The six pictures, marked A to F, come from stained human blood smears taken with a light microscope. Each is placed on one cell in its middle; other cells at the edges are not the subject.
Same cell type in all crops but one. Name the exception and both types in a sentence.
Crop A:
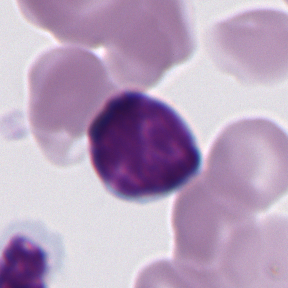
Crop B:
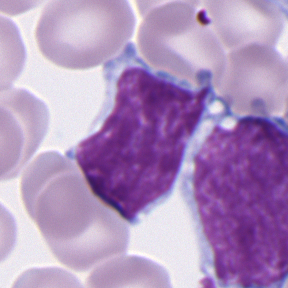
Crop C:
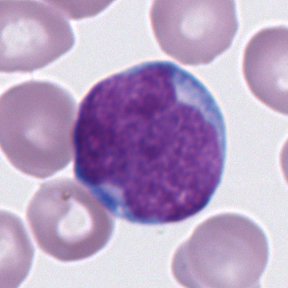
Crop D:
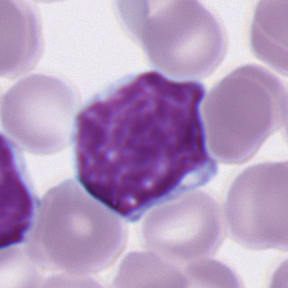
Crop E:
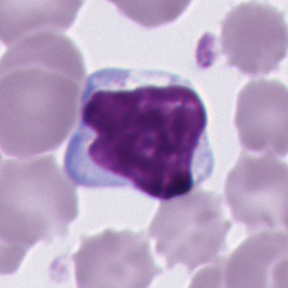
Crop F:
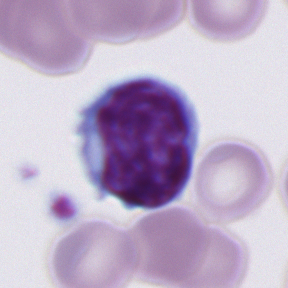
Crop C is the only one that is a blast; all the others show lymphocytes.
